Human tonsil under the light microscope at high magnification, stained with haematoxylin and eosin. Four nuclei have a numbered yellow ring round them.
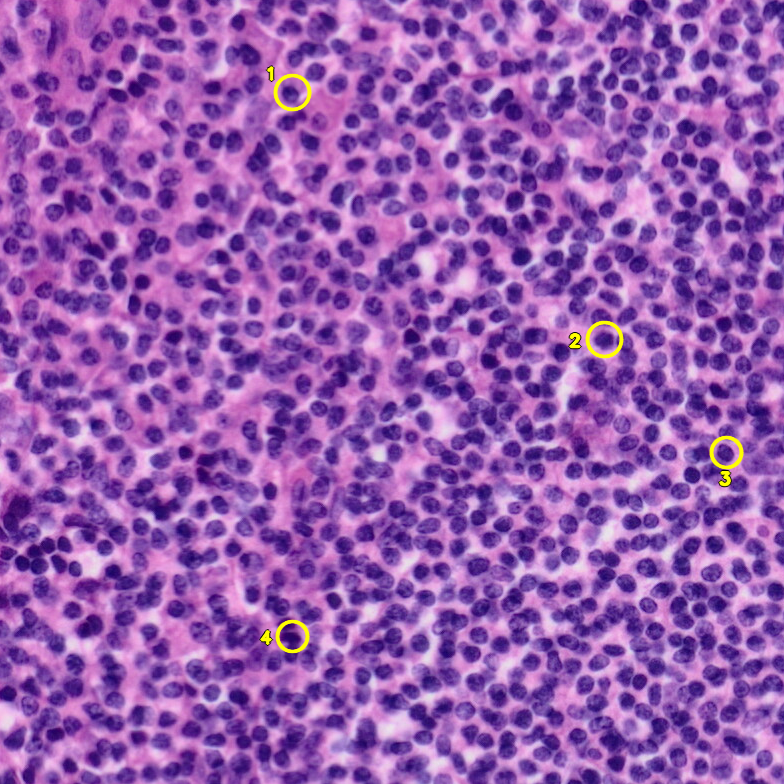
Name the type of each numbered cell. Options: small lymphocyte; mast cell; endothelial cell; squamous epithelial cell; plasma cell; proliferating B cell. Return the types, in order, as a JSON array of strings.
["plasma cell", "small lymphocyte", "small lymphocyte", "small lymphocyte"]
